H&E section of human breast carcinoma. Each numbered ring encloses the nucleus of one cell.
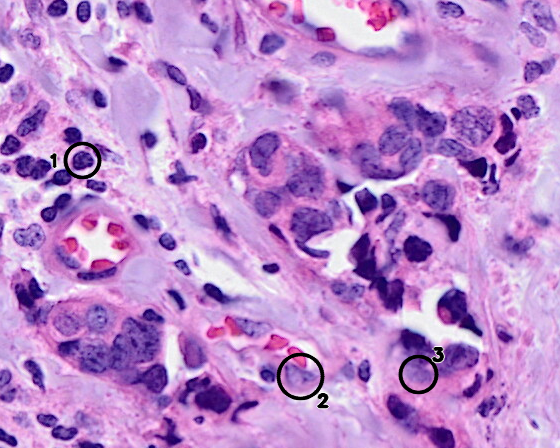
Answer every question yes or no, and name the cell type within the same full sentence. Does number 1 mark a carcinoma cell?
No, the one with number 1 is a lymphocyte, not a carcinoma cell.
